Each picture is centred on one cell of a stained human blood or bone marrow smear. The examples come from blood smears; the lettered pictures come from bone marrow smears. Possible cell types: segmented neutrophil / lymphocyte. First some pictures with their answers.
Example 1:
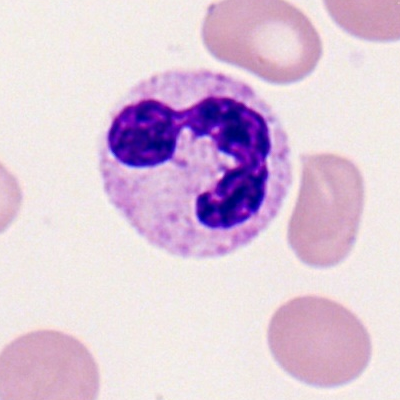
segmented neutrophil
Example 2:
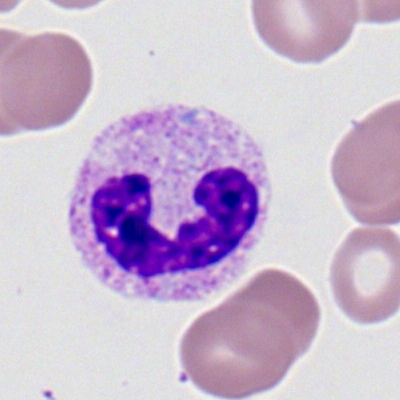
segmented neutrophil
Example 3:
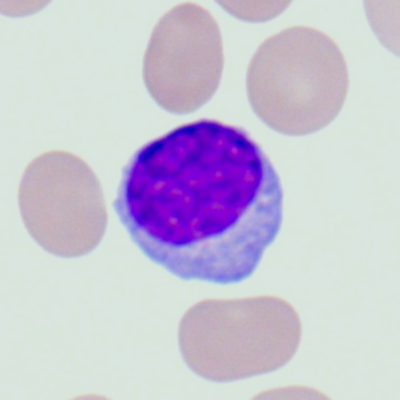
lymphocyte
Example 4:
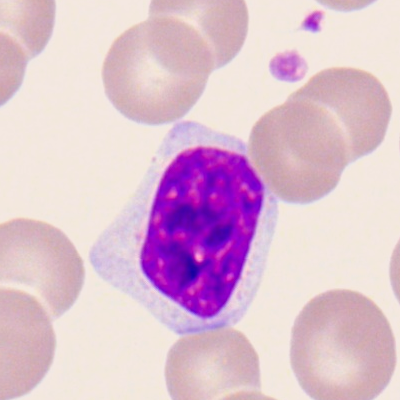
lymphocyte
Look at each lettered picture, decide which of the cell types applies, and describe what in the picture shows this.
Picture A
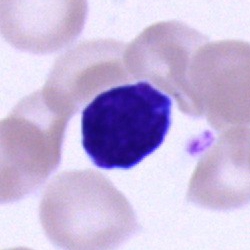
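lymphocyte: Cytoplasm is scant, with the nucleus filling almost the whole cell.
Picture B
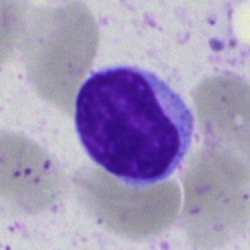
lymphocyte: The cytoplasm forms only a thin rim around the nucleus.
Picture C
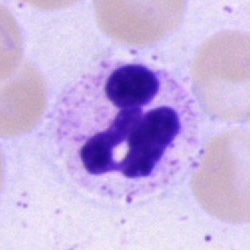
segmented neutrophil: The cytoplasm is abundant and pale pinkish-lilac.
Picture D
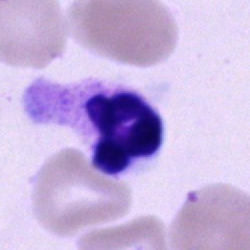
segmented neutrophil: Fine purple granules are scattered through the cytoplasm.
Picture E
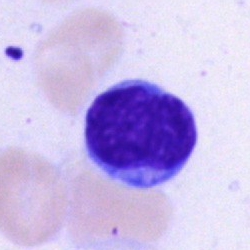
lymphocyte: The nucleus fills most of the cell.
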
